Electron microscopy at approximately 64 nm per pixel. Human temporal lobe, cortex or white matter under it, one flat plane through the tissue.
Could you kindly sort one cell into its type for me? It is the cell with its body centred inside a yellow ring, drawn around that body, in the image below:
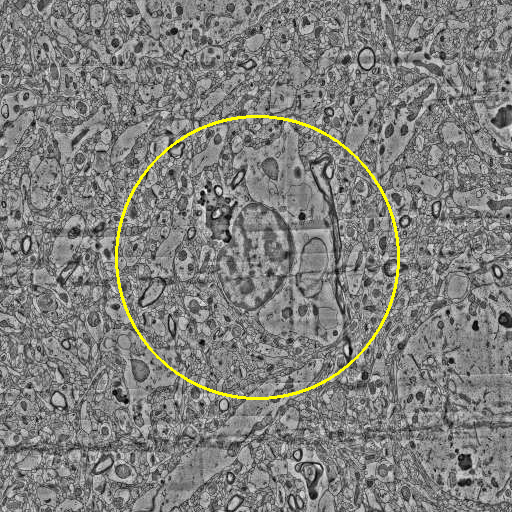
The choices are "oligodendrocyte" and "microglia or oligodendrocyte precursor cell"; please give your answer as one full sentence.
The cell whose body lies centred in the yellow ring here is a microglial cell or oligodendrocyte precursor cell.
